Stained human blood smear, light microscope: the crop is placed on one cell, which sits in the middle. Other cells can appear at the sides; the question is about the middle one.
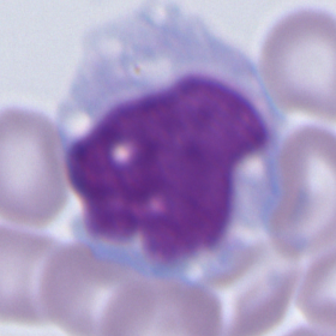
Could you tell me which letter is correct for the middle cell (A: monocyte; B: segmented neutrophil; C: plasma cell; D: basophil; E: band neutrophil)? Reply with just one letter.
A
